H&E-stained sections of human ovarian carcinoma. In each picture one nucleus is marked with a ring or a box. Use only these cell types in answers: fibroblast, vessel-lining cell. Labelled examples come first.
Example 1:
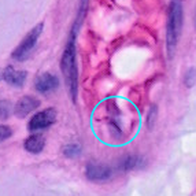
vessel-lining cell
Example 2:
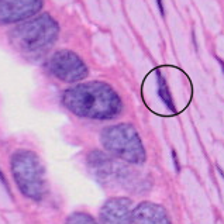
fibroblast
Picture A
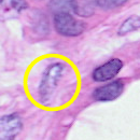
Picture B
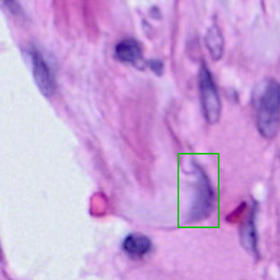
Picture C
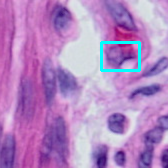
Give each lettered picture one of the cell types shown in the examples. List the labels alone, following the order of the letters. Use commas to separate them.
fibroblast, vessel-lining cell, vessel-lining cell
